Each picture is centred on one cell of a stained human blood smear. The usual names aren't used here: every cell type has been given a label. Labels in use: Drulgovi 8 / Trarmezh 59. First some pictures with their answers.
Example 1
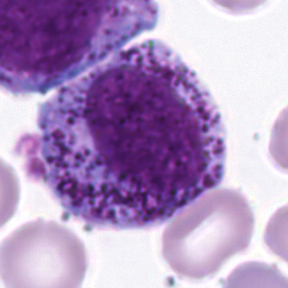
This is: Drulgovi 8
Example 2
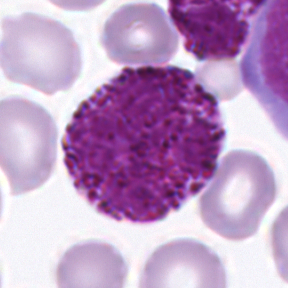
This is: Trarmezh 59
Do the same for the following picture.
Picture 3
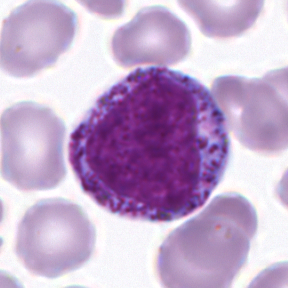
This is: Drulgovi 8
